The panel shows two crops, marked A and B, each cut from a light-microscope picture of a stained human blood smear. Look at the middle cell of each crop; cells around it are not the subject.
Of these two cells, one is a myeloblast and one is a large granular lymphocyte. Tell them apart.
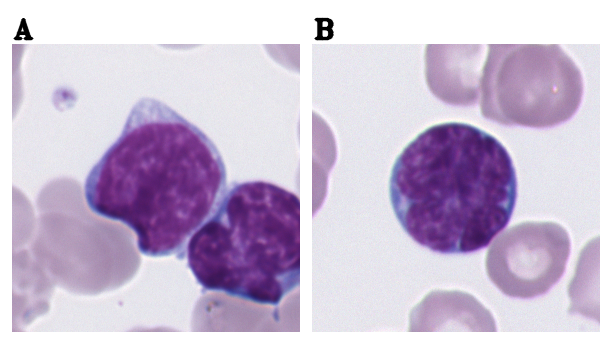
A: large granular lymphocyte
B: myeloblast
